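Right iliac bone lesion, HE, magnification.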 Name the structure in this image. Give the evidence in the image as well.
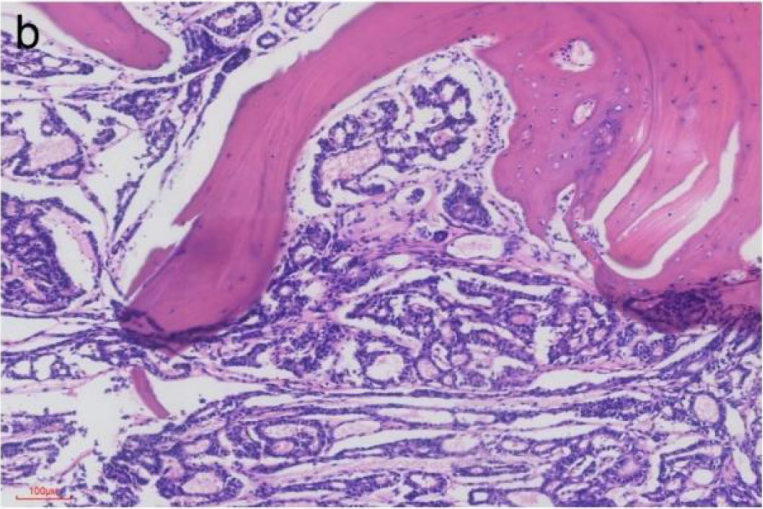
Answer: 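Small glands and tubules lined by dark-nuclei epithelium lie between pink trabeculae. Many tubules contain pale pink material in their lumina. So: Glandular tubular structures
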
